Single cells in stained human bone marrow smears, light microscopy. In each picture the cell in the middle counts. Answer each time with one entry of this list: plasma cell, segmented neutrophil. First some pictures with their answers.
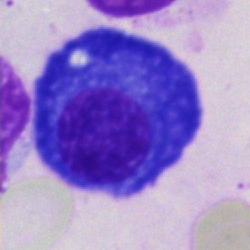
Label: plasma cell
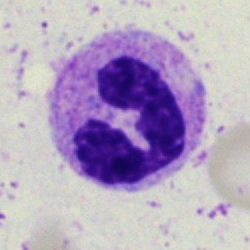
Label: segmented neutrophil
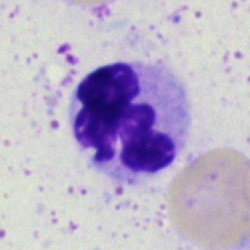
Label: segmented neutrophil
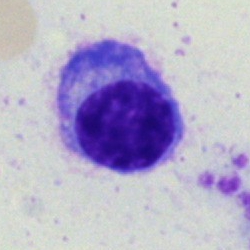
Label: plasma cell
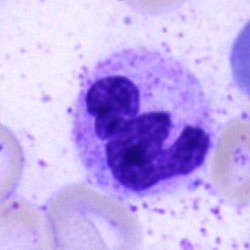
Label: segmented neutrophil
